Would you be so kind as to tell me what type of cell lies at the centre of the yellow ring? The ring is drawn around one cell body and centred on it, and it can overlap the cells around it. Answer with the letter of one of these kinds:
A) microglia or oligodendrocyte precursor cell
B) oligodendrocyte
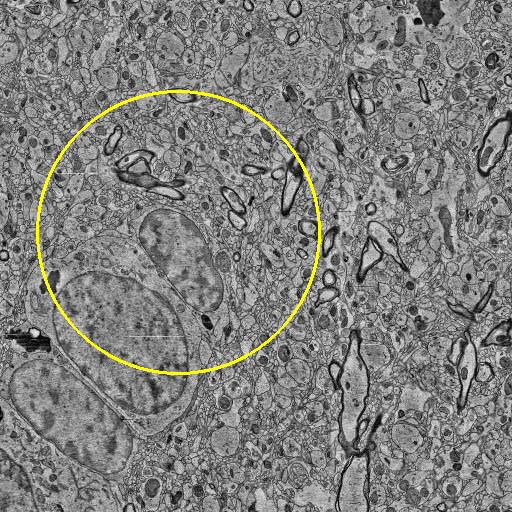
A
